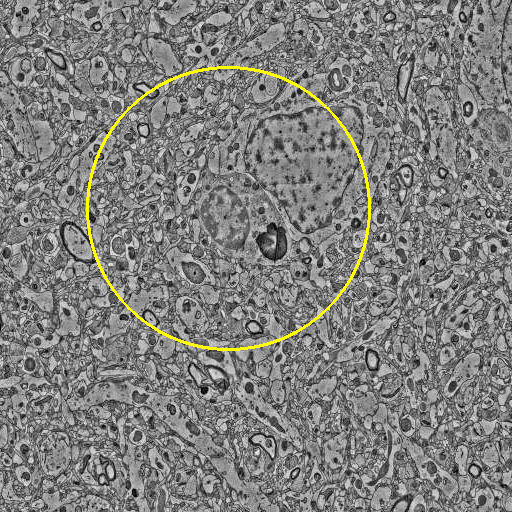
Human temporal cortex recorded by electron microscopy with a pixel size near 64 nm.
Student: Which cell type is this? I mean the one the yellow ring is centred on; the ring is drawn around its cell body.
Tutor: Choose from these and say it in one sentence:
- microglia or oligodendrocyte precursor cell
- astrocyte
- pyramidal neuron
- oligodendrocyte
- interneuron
The cell the ring is centred on is an oligodendrocyte.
